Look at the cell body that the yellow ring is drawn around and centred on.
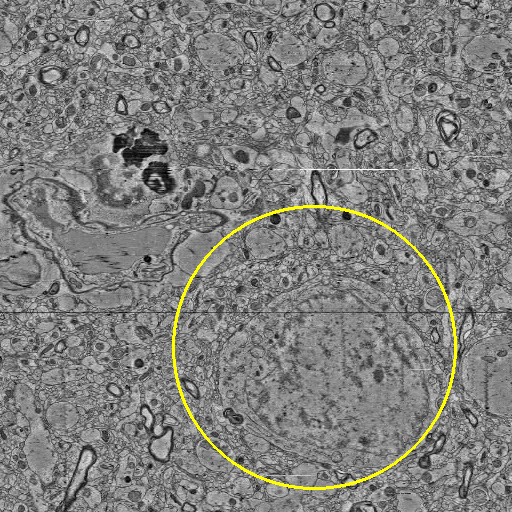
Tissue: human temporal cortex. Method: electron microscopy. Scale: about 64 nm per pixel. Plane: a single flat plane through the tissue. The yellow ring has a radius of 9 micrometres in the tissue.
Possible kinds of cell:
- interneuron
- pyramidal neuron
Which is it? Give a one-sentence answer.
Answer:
The centred cell body is that of an interneuron.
